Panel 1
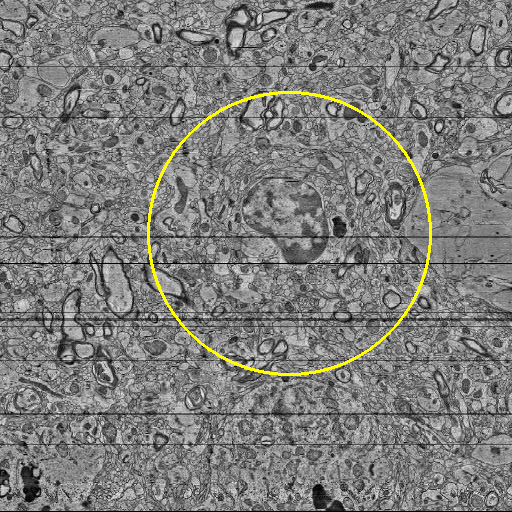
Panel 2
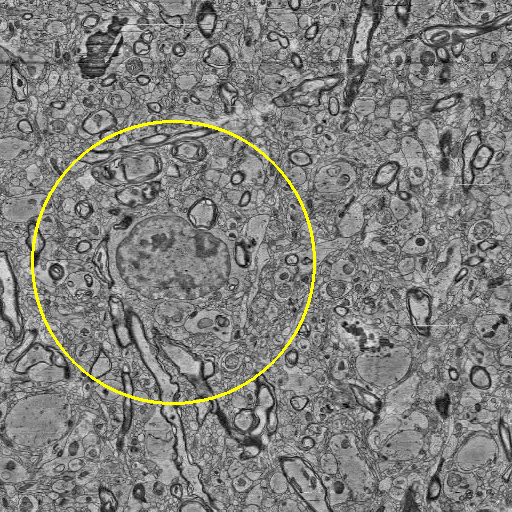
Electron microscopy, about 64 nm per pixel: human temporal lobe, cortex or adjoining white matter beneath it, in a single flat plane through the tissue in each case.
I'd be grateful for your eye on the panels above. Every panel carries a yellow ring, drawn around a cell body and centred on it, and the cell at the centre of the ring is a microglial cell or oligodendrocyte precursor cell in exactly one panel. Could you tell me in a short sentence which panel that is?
Panel 1 is the one with it at the centre of the ring.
